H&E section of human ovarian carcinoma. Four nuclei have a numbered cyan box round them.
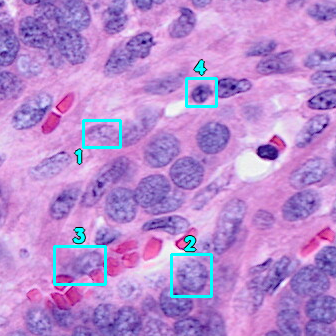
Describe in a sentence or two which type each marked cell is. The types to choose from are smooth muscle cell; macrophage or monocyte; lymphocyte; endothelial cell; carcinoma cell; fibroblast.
Cell 1 is a fibroblast, cell 2 is a carcinoma cell, cell 3 is an endothelial cell and cell 4 is a lymphocyte.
